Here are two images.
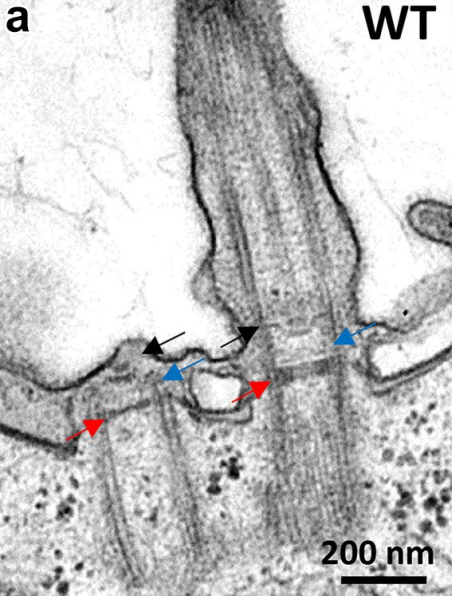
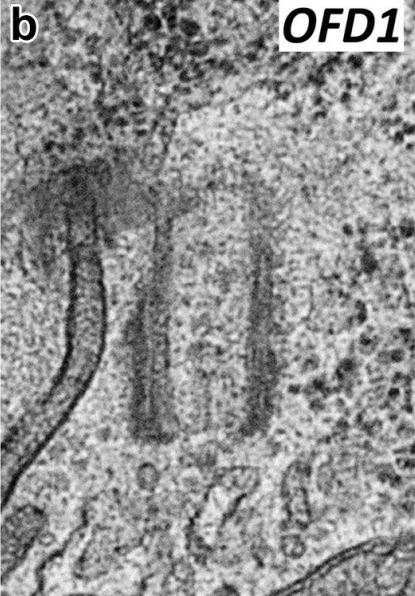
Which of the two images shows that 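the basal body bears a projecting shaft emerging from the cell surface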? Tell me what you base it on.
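Second image: the microtubule cylinder lies inside the cytoplasm with nothing projecting from its top. First image: a membrane-bounded shaft of microtubules rises from the basal body above the cell surface.
The first image.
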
